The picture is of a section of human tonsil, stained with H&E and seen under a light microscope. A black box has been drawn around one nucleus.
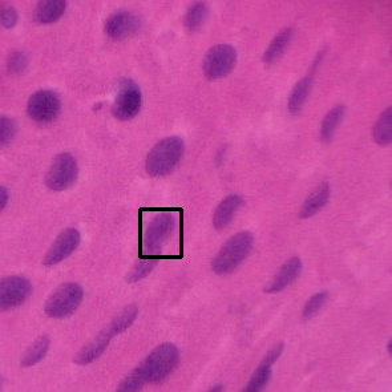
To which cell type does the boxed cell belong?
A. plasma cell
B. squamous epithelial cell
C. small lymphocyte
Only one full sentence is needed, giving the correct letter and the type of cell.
Option B holds, since the boxed cell is a squamous epithelial cell.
